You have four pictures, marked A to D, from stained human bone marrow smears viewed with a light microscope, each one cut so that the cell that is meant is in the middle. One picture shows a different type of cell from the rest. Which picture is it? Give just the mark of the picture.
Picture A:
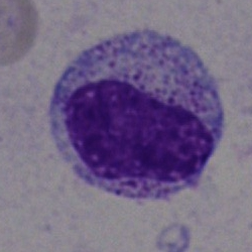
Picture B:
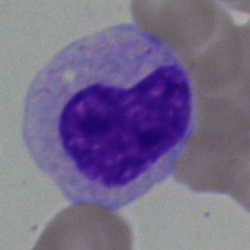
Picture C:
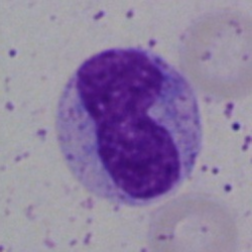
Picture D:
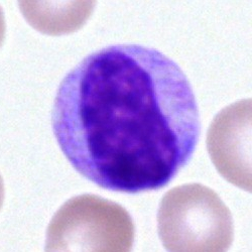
C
